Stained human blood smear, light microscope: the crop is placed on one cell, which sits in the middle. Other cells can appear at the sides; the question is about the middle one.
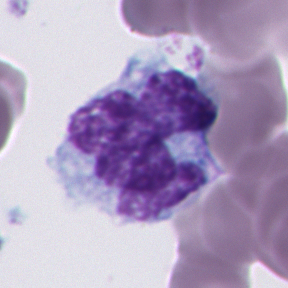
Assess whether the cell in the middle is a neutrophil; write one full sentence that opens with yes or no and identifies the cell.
No, mark the middle cell as a monocyte, not a neutrophil.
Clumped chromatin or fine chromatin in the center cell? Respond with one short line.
Take a look at the chromatin, which is coarsely clumped.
